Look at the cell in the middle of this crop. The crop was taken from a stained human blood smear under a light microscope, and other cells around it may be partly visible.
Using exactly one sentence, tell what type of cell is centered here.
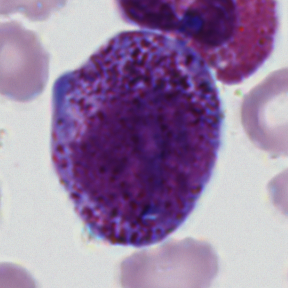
The single cell at the center of the crop is a promyelocyte.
